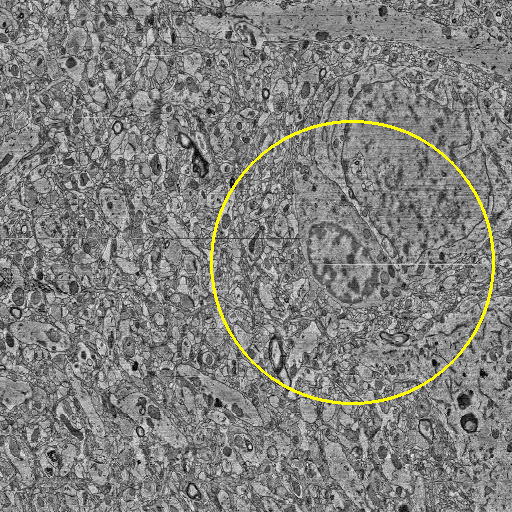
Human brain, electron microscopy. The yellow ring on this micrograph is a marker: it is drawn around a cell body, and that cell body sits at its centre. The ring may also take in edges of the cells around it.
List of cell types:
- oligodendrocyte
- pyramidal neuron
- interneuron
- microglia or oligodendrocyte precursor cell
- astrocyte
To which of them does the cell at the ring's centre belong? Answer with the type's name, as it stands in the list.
oligodendrocyte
